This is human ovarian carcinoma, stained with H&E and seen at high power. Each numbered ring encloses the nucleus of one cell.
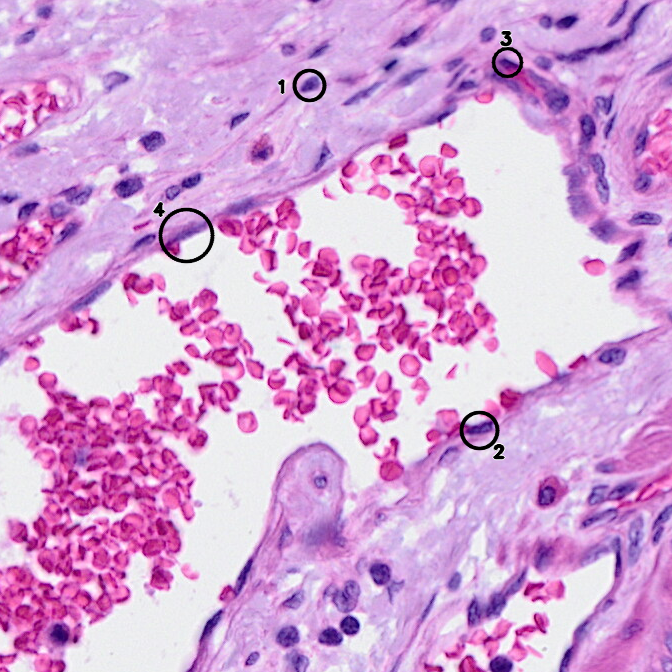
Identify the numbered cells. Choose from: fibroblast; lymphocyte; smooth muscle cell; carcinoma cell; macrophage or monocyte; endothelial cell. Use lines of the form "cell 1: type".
cell 1: lymphocyte
cell 2: endothelial cell
cell 3: endothelial cell
cell 4: endothelial cell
